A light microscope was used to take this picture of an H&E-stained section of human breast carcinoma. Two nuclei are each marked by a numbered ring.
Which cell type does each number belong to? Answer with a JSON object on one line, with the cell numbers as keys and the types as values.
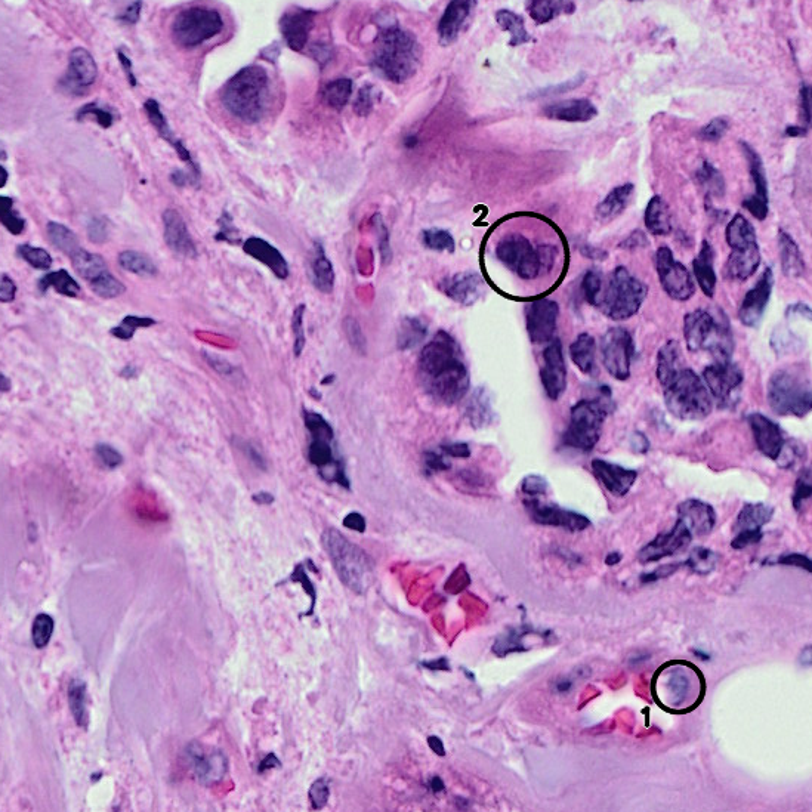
{"1": "endothelial cell", "2": "carcinoma cell"}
